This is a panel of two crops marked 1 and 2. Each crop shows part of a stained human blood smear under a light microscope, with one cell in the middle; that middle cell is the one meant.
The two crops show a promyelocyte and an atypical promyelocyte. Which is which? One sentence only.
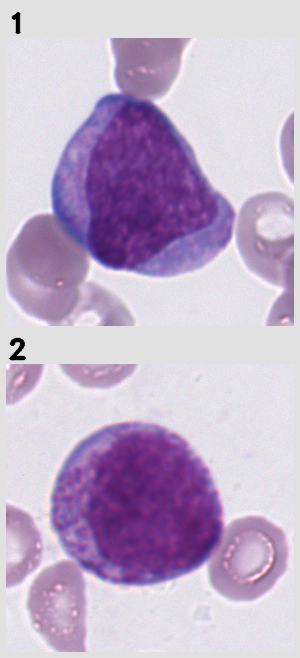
Crop 1 corresponds to an atypical promyelocyte, and crop 2 corresponds to a promyelocyte.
